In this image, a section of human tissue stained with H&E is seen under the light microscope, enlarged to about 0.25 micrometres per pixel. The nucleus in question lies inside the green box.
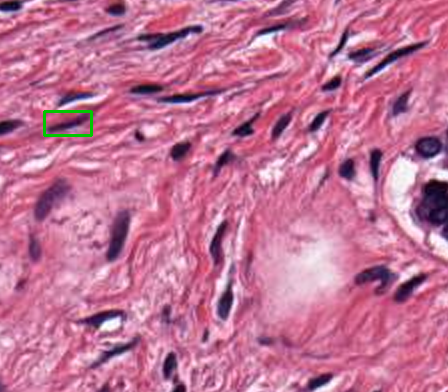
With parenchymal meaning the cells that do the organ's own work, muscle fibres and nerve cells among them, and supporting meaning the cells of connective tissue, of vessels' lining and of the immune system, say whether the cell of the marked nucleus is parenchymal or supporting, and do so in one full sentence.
The marked nucleus is identified as belonging to a supporting cell.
